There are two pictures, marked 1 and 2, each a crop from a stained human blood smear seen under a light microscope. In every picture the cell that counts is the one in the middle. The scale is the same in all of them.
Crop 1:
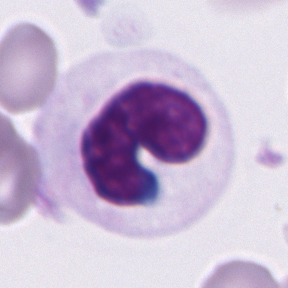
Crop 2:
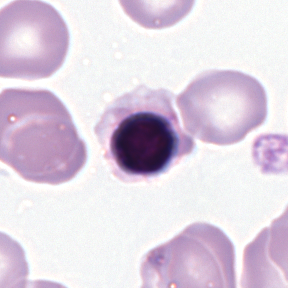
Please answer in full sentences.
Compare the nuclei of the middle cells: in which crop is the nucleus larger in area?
Crop 1 shows the larger nucleus; it covers about 4 times the area of the nucleus in crop 2.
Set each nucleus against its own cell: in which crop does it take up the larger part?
In crop 2 the nucleus takes up the larger part of its cell.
